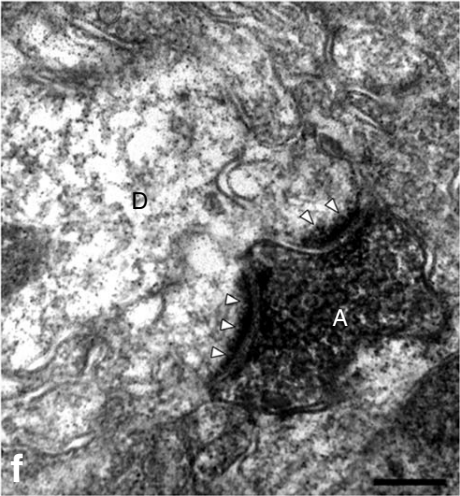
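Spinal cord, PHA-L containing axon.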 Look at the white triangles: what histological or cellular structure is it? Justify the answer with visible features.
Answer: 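The triangles mark contacts between a dark vesicle-filled terminal and a pale profile. A thick dense band lines the postsynaptic membrane. The answer: asymmetric synapses.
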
